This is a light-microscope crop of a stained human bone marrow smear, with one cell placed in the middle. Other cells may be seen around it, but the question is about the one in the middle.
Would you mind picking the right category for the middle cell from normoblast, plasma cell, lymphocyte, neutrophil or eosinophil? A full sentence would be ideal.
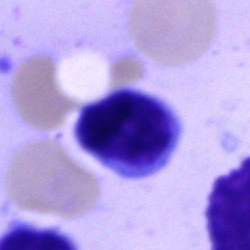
The cell at the middle of the frame should be recorded as a lymphocyte.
